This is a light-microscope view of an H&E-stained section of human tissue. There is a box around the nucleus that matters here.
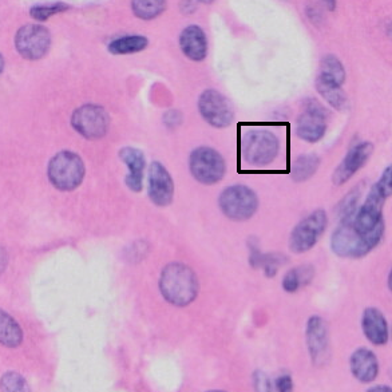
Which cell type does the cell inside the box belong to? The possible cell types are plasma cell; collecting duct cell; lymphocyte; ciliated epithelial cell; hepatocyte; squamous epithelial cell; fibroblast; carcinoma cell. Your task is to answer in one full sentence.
Labelled by cell type, the cell inside the box is a collecting duct cell.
